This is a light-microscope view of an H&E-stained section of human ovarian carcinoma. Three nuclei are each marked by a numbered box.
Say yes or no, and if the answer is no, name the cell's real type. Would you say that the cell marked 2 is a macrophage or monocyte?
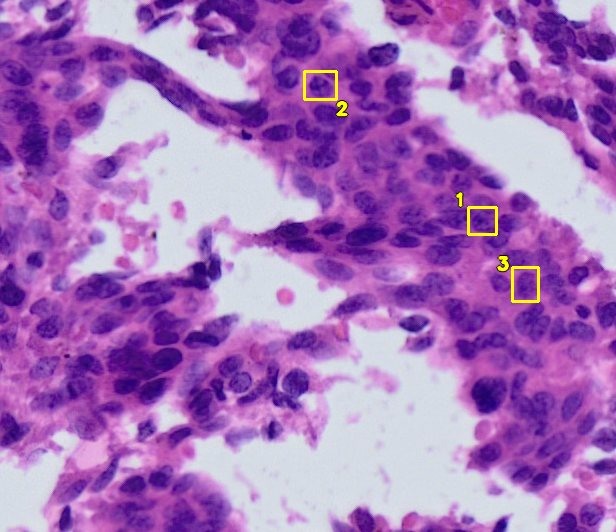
Yes.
